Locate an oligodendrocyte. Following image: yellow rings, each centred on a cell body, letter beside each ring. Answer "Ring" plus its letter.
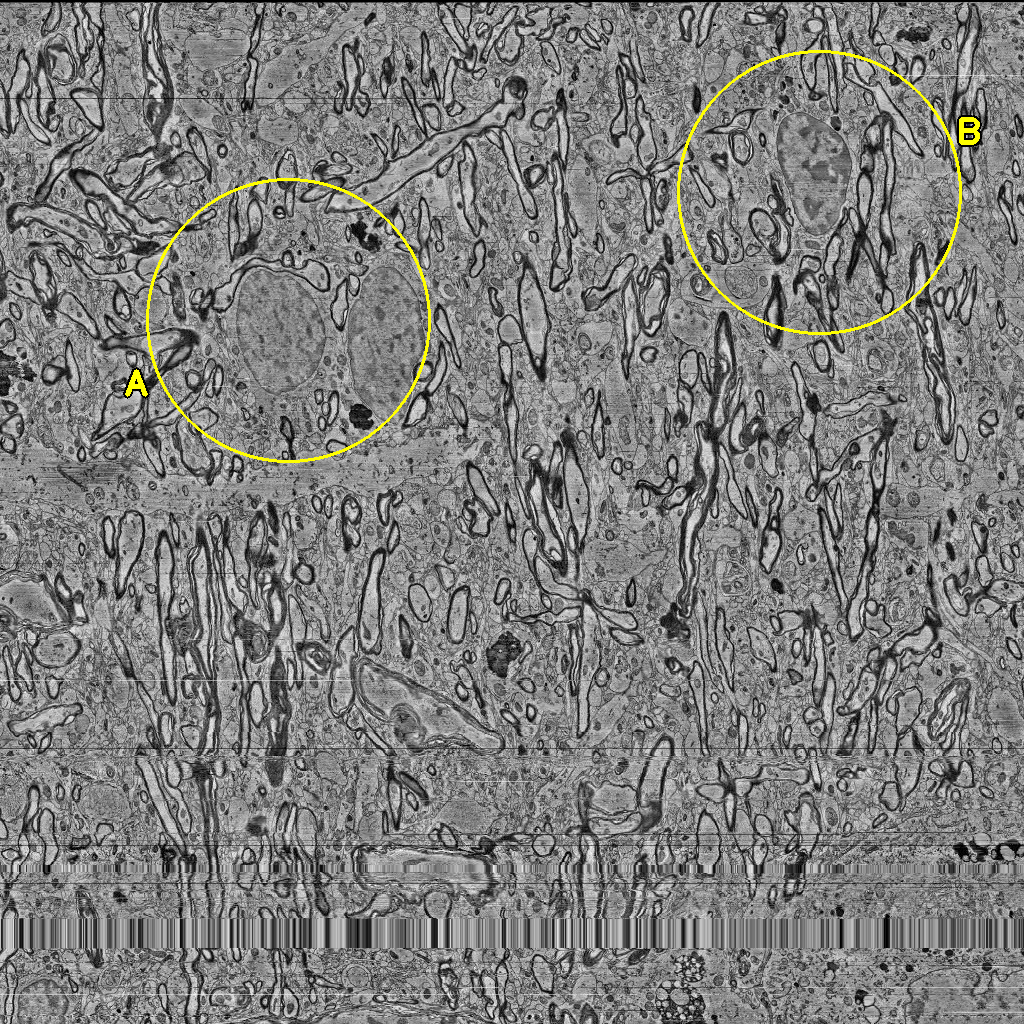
Ring A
